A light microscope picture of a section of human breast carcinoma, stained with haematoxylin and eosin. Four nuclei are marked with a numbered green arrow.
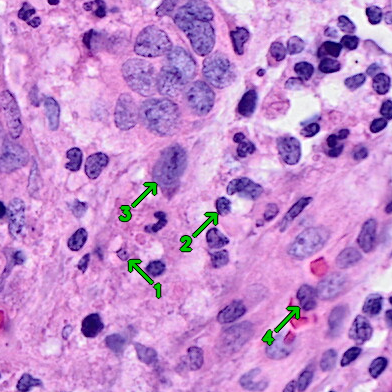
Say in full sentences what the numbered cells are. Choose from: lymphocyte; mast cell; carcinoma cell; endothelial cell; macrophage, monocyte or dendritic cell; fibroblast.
Cell 1 is a macrophage, monocyte or dendritic cell, cell 2 is a lymphocyte, cell 3 is a carcinoma cell and cell 4 is an endothelial cell.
